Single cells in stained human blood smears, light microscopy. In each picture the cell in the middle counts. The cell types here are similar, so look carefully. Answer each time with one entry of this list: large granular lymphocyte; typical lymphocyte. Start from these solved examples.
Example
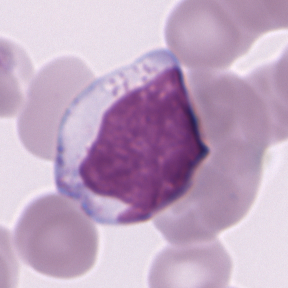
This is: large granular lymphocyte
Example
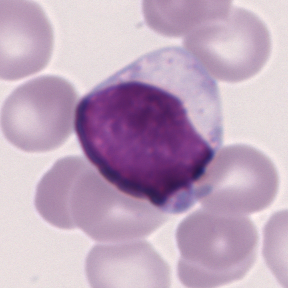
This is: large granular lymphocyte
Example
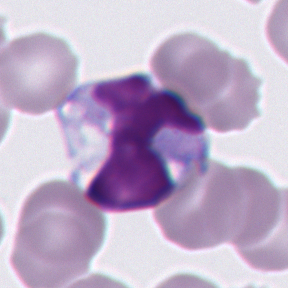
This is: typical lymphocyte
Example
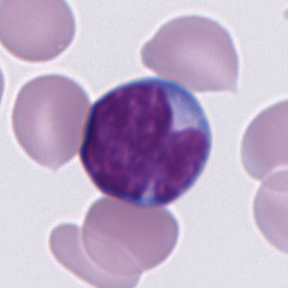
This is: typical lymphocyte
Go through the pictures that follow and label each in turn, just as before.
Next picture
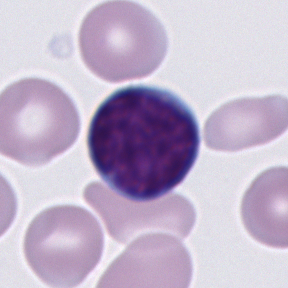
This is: typical lymphocyte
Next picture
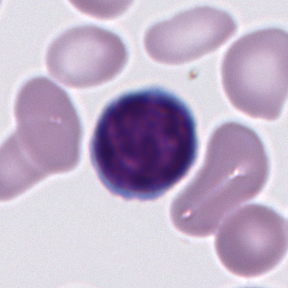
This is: typical lymphocyte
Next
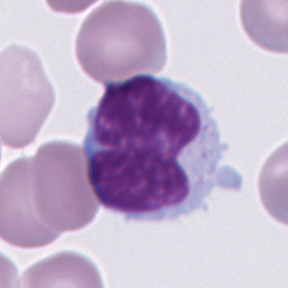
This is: large granular lymphocyte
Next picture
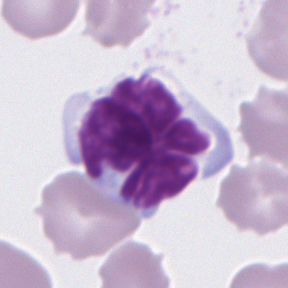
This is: typical lymphocyte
